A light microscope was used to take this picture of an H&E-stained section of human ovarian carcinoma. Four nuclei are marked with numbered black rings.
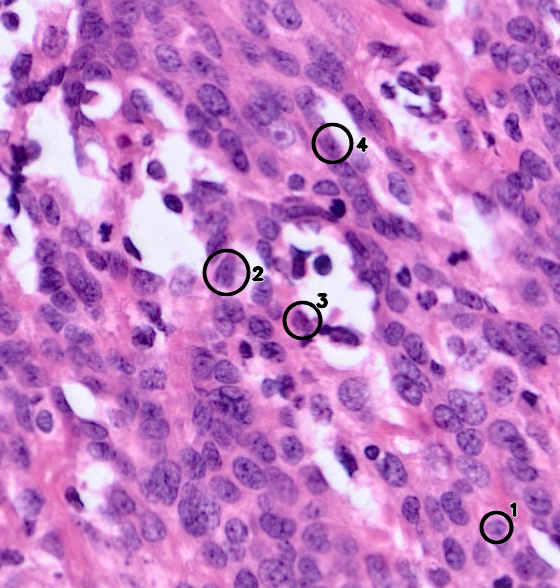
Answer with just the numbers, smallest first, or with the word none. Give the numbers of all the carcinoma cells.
2, 3, 4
